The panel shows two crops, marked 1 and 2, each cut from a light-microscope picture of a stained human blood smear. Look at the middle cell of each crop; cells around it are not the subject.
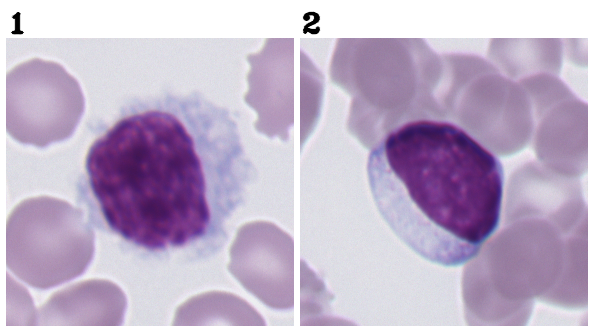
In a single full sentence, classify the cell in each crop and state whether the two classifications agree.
No, the cell centred in crop 1 is a hairy cell, and that centred in crop 2 is a large granular lymphocyte.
